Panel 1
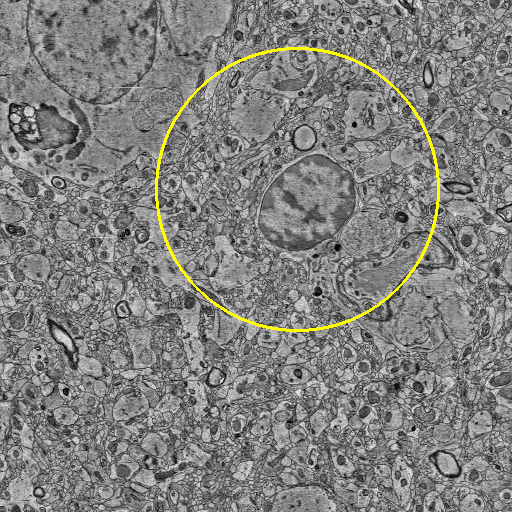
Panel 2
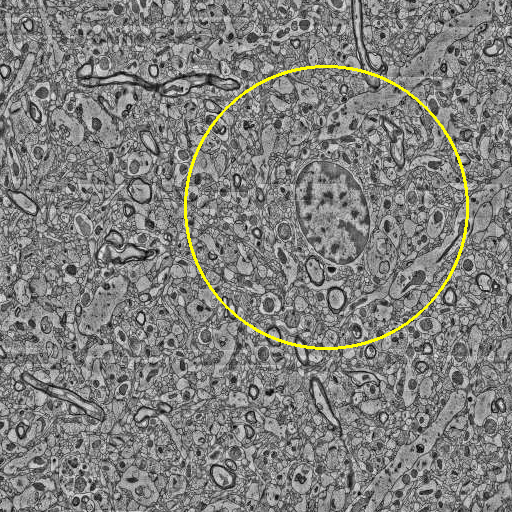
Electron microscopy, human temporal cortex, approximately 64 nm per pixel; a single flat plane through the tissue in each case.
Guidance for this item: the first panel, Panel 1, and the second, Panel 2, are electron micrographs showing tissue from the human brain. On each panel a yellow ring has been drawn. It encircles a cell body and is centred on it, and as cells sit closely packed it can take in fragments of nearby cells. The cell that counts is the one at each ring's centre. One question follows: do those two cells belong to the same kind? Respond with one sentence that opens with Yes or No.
Yes, the cells at the ring centres in Panel 1 and Panel 2 are of one kind.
